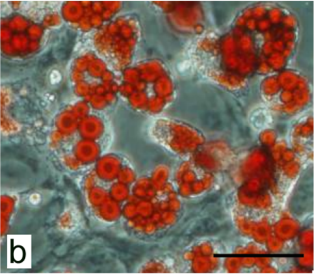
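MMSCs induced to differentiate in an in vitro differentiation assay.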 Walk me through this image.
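The droplets crowd together so that many cells look like rounded clusters of red spheres. Between them lie paler, unstained grey-green cells and spaces without red droplets. The cells are grouped closely, with the red-filled cells scattered throughout the field.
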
